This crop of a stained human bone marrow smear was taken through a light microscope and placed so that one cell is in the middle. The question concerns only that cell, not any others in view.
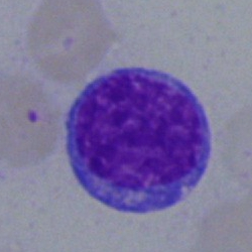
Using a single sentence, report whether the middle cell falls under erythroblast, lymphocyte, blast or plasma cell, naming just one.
In the centre of this crop there is a blast.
